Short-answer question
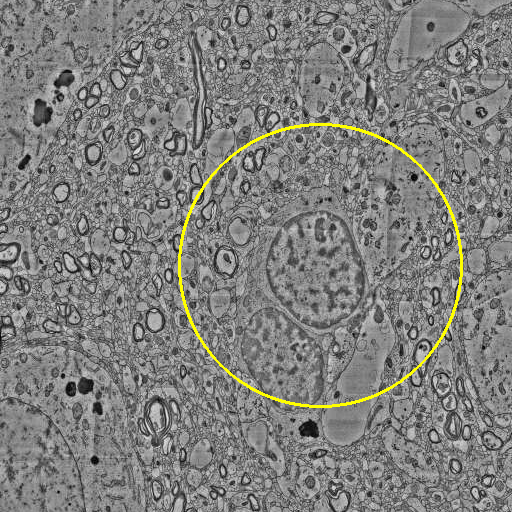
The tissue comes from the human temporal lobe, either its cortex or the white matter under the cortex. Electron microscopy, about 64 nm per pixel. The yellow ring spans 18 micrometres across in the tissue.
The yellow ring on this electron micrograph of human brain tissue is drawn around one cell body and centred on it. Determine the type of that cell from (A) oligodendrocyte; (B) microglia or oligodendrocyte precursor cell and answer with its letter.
A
